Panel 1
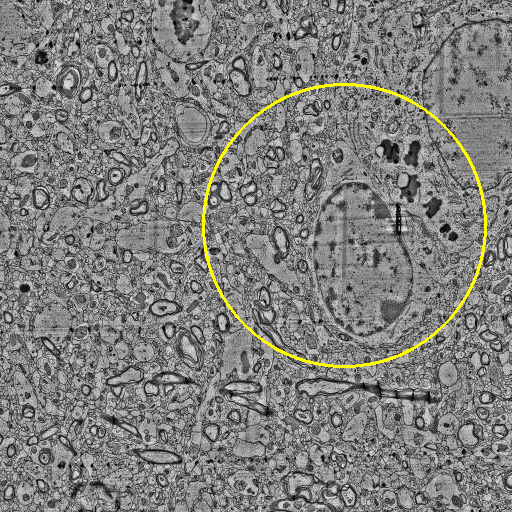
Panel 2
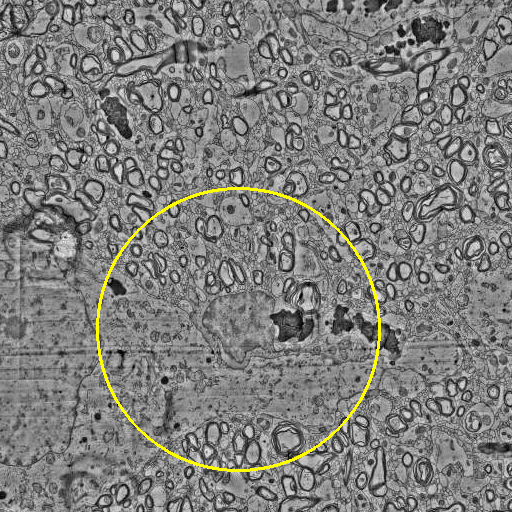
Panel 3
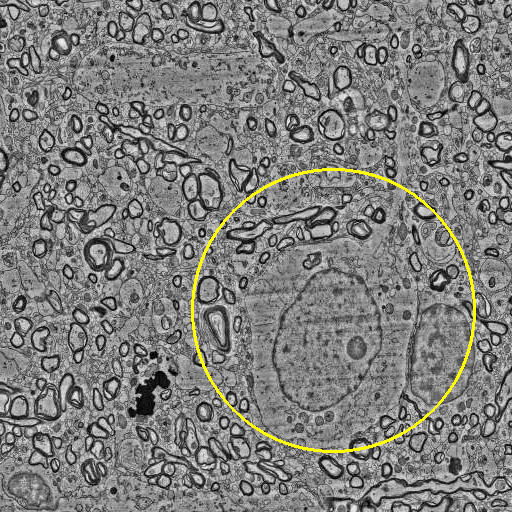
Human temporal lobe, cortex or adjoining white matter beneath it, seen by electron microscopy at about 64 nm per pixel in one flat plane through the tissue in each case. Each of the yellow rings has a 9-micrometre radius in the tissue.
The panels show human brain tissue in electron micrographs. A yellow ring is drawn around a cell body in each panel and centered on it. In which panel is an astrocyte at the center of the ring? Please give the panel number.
3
